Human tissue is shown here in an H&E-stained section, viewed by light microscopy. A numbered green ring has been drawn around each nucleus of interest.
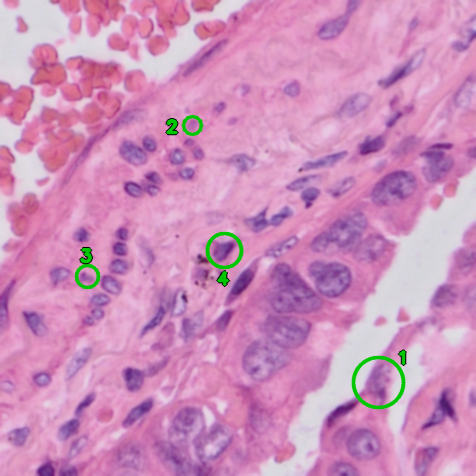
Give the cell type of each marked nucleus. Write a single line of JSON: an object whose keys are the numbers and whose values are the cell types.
{"1": "carcinoma cell", "2": "smooth muscle cell or pericyte", "3": "smooth muscle cell or pericyte", "4": "plasma cell"}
